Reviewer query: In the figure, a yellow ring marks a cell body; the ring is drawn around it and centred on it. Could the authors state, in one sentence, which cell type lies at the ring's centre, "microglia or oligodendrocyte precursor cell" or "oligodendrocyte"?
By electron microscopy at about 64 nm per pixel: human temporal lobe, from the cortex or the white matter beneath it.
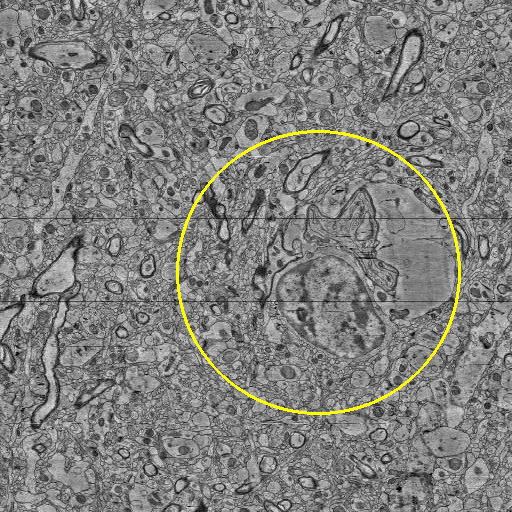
The ring is centred on an oligodendrocyte.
